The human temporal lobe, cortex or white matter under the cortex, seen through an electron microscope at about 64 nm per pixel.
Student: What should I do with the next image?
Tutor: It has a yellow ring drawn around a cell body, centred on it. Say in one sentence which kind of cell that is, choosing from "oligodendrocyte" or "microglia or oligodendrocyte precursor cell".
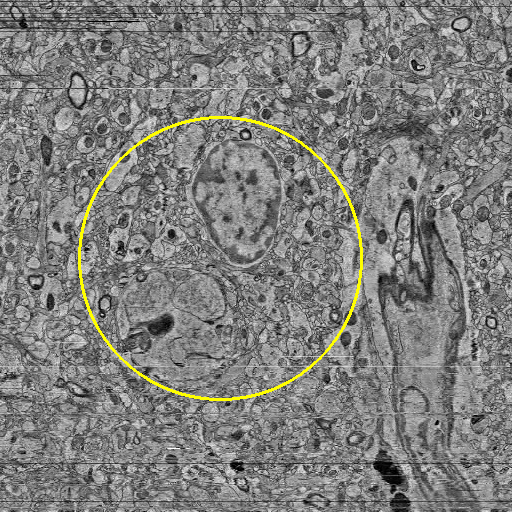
The ring's centre is occupied by a microglial cell or oligodendrocyte precursor cell.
